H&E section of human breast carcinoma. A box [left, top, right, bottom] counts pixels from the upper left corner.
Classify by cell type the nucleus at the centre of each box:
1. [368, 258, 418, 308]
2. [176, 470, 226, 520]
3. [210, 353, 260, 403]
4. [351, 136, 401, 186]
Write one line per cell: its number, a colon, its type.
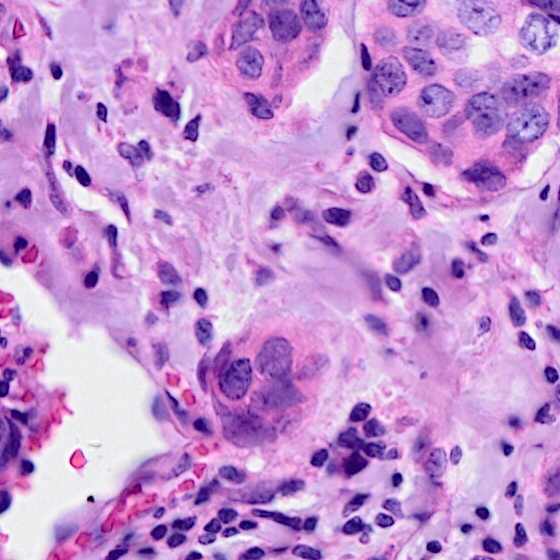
1: lymphocyte
2: lymphocyte
3: carcinoma cell
4: lymphocyte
